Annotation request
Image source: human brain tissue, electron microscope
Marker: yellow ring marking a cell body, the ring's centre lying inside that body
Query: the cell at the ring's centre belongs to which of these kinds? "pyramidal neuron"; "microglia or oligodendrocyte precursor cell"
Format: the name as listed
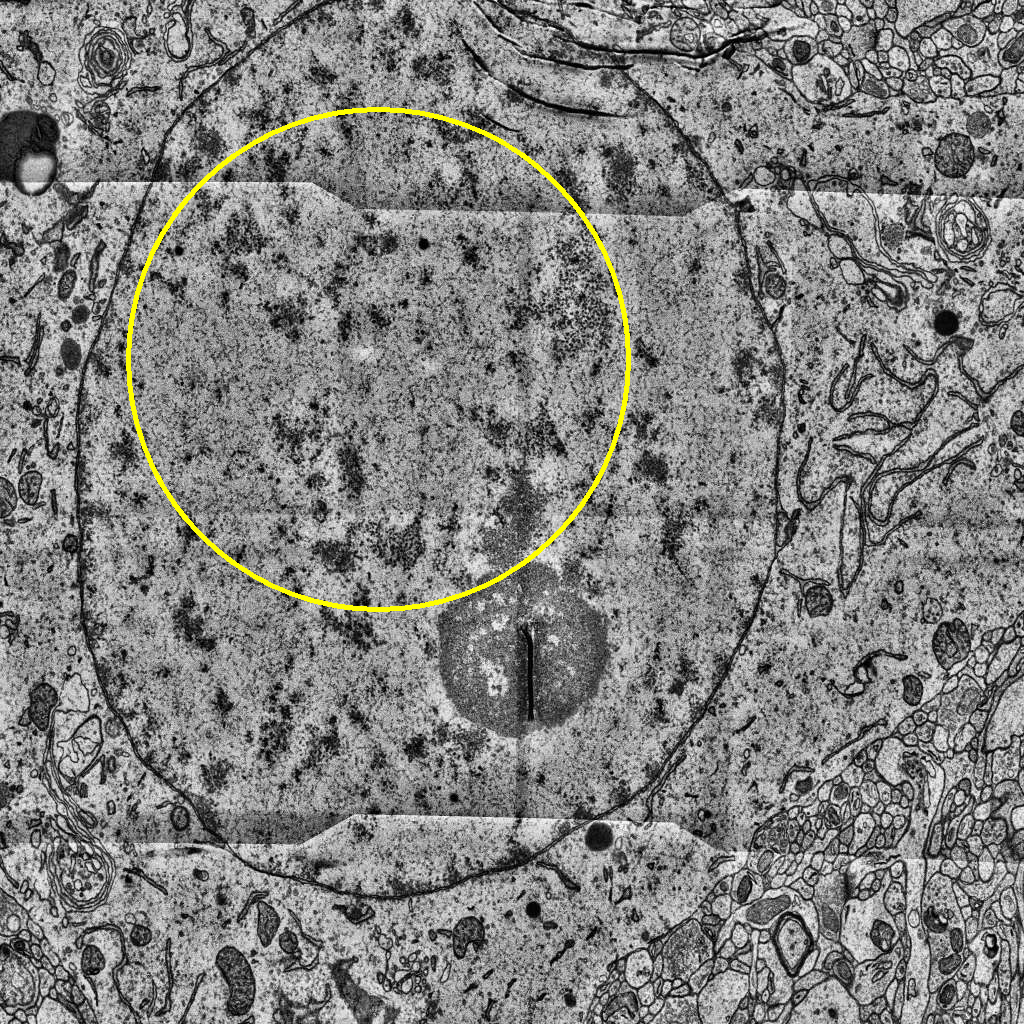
pyramidal neuron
